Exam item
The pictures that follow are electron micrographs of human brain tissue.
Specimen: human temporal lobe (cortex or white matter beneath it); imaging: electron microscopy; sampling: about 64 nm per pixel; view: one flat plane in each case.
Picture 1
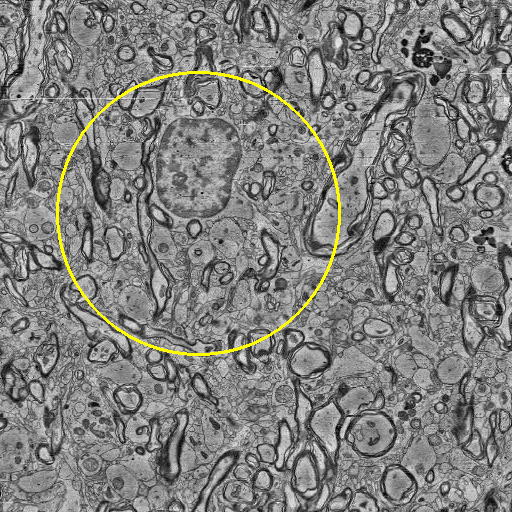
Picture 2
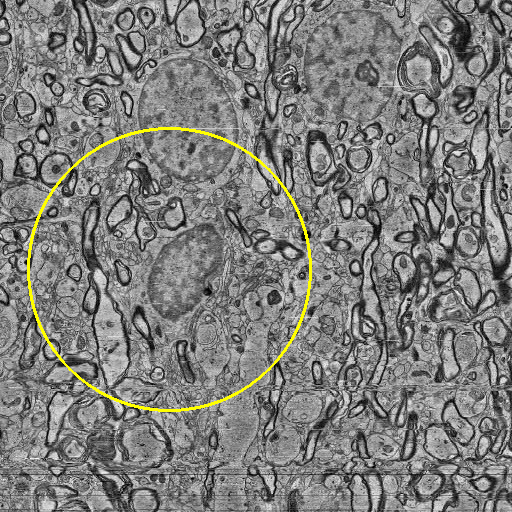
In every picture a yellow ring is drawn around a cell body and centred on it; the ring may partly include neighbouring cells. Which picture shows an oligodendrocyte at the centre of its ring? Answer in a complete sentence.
The cell at the centre of the ring in Picture 2 is the one asked for.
